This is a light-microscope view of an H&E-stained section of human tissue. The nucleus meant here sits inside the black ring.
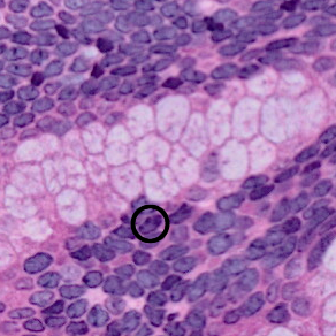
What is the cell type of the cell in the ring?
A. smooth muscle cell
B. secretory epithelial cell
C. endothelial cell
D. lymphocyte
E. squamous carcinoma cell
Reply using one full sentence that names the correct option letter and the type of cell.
With the cell in the ring being a secretory epithelial cell, option B is correct.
